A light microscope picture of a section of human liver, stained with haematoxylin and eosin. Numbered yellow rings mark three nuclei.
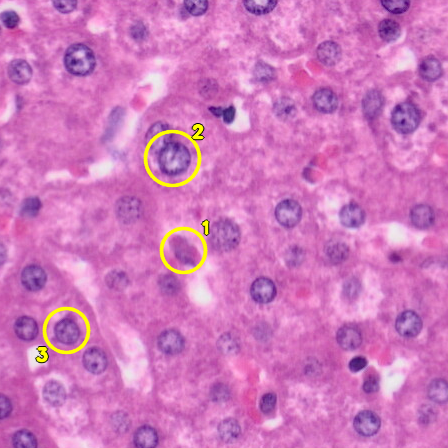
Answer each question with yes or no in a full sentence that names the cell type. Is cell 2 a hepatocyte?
Yes, the marked cell number 2 is a hepatocyte.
